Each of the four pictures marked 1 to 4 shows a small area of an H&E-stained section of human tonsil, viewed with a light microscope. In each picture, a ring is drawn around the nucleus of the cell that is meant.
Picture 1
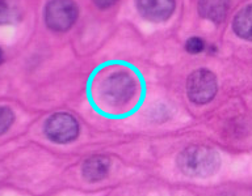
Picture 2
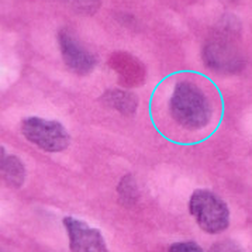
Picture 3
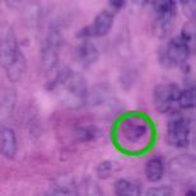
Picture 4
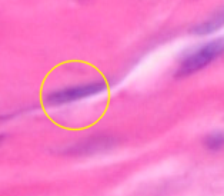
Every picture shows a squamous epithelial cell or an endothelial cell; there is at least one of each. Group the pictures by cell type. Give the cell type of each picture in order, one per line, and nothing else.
squamous epithelial cell
squamous epithelial cell
endothelial cell
endothelial cell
